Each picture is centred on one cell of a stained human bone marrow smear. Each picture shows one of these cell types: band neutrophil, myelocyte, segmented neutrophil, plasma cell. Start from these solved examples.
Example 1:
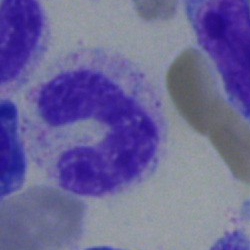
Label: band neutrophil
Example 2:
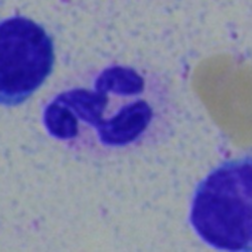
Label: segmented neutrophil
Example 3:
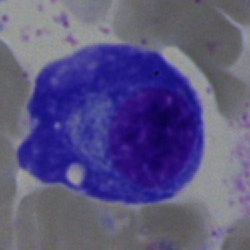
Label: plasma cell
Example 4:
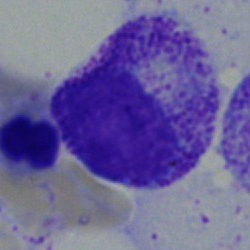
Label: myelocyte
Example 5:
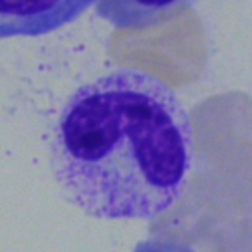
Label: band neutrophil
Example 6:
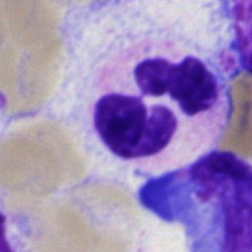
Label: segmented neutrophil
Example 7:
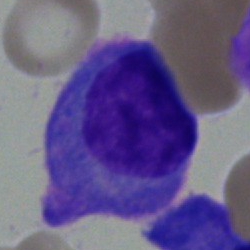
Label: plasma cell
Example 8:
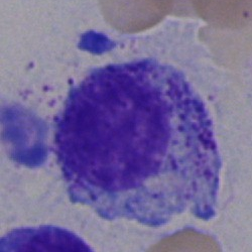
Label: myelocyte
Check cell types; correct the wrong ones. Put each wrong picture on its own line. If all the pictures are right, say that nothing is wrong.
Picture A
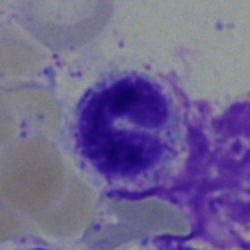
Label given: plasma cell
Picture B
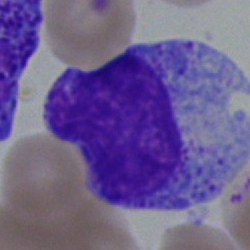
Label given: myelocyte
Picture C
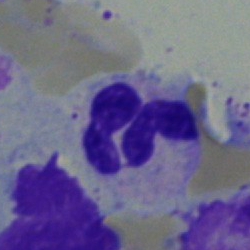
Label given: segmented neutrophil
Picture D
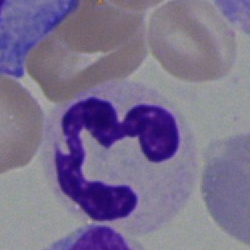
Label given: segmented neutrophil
A should be band neutrophil, not plasma cell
